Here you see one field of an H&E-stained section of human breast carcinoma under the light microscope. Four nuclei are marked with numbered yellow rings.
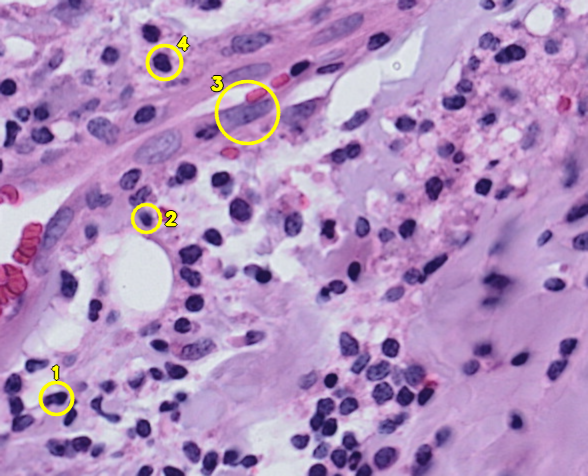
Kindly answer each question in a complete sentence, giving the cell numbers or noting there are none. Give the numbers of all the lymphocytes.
Cells numbered 1, 2 and 4 belong to the group of lymphocytes.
